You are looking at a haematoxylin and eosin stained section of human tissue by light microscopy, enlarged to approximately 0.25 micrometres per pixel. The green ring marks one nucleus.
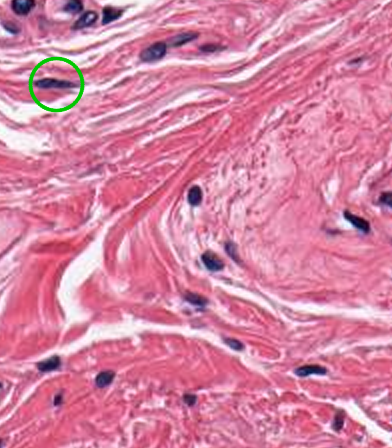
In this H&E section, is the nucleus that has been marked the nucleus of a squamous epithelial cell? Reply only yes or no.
no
